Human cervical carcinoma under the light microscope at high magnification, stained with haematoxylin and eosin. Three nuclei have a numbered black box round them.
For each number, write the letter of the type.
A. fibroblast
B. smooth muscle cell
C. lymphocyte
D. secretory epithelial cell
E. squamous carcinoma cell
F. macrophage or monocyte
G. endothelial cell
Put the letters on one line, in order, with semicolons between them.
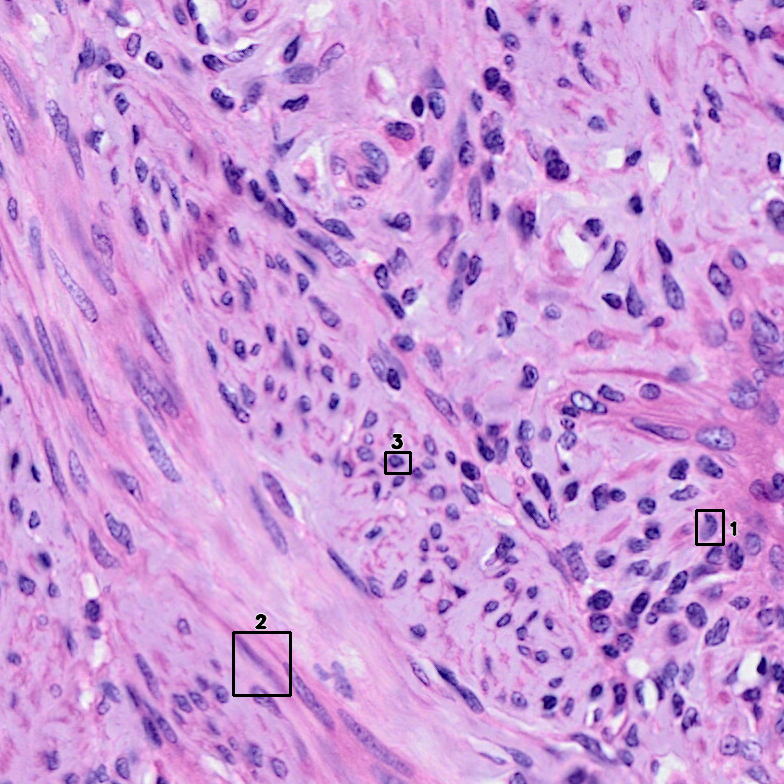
C; B; B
